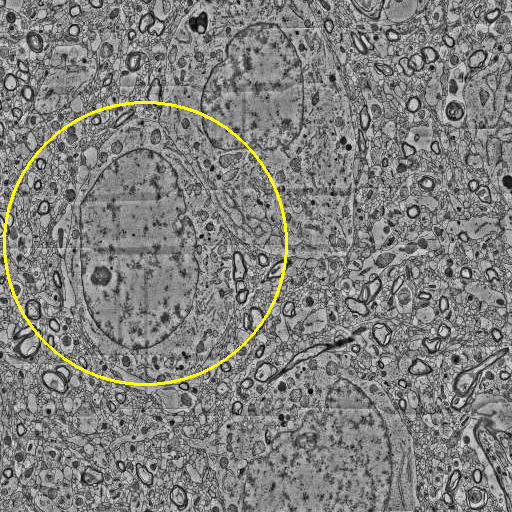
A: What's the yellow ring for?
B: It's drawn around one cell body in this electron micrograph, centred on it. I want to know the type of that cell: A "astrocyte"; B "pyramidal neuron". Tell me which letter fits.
B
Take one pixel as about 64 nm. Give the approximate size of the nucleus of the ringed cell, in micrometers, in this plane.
In this plane the nucleus is clearly longer than it is wide: roughly 13 by 8 micrometres.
